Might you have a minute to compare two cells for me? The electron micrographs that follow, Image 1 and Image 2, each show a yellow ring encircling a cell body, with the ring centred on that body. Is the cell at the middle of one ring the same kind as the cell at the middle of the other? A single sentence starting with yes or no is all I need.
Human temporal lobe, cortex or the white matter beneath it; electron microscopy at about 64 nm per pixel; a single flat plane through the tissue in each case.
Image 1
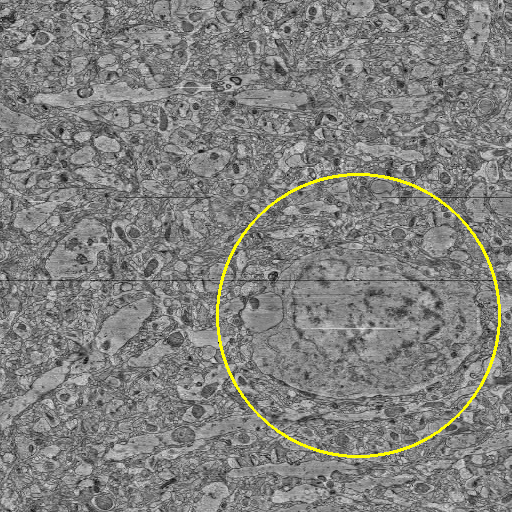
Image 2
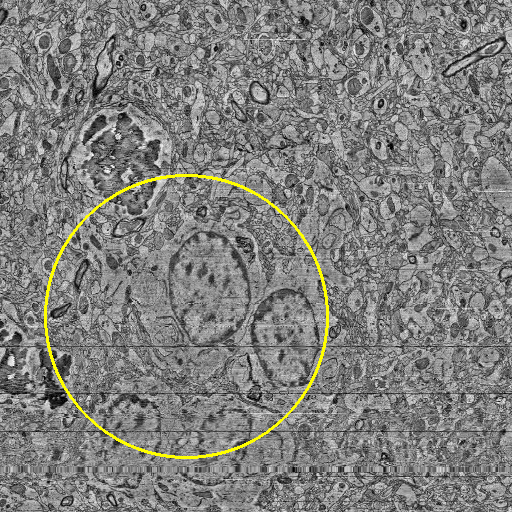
No, the cells in the middle of the two rings are of two separate kinds.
